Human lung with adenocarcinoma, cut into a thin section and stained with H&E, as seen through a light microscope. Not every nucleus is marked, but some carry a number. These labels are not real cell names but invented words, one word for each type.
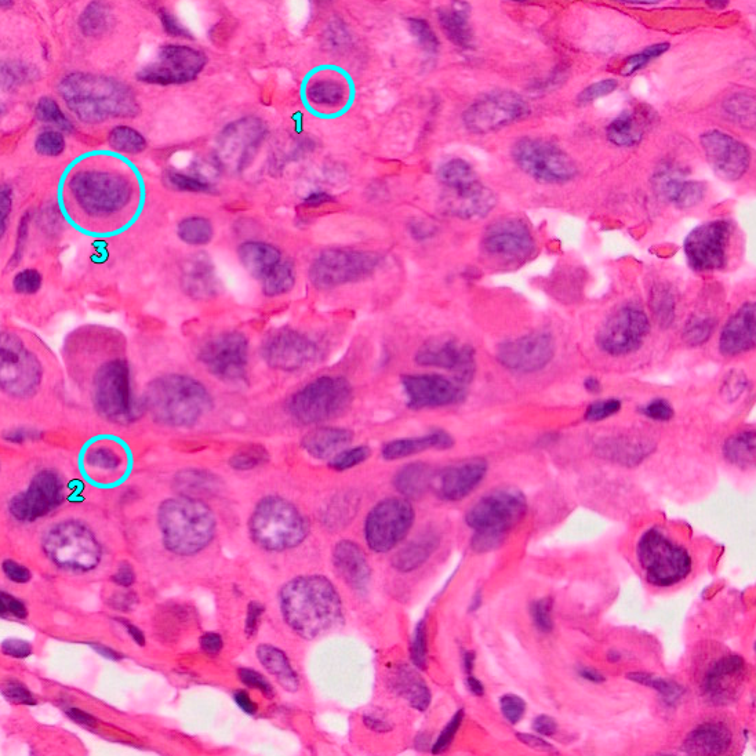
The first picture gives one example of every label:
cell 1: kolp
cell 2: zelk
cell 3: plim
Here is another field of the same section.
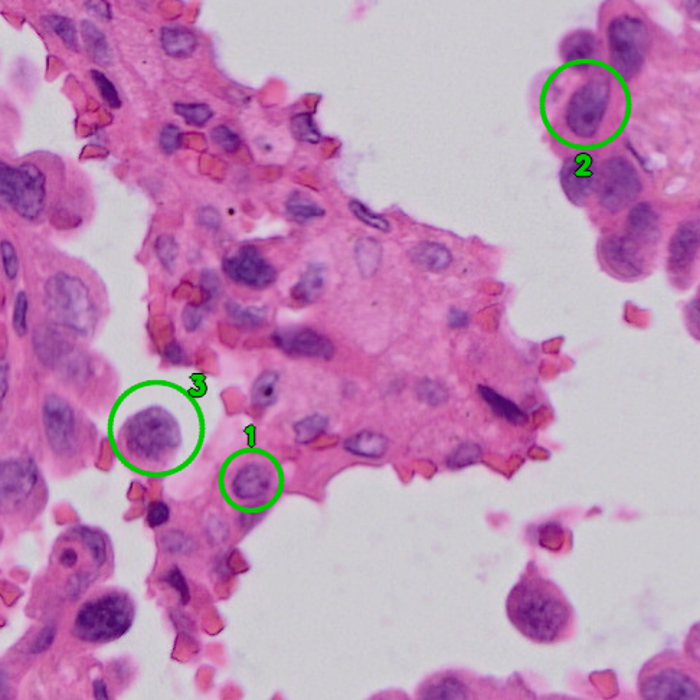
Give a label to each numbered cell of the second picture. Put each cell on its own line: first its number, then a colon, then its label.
1: kolp
2: plim
3: plim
